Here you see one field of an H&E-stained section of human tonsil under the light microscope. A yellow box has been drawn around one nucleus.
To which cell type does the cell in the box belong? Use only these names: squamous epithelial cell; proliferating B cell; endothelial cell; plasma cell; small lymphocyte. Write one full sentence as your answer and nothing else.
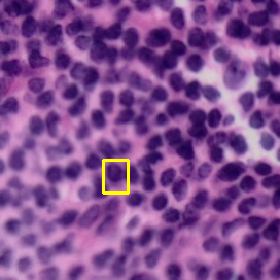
In the tissue at hand, the cell in the box is a small lymphocyte.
